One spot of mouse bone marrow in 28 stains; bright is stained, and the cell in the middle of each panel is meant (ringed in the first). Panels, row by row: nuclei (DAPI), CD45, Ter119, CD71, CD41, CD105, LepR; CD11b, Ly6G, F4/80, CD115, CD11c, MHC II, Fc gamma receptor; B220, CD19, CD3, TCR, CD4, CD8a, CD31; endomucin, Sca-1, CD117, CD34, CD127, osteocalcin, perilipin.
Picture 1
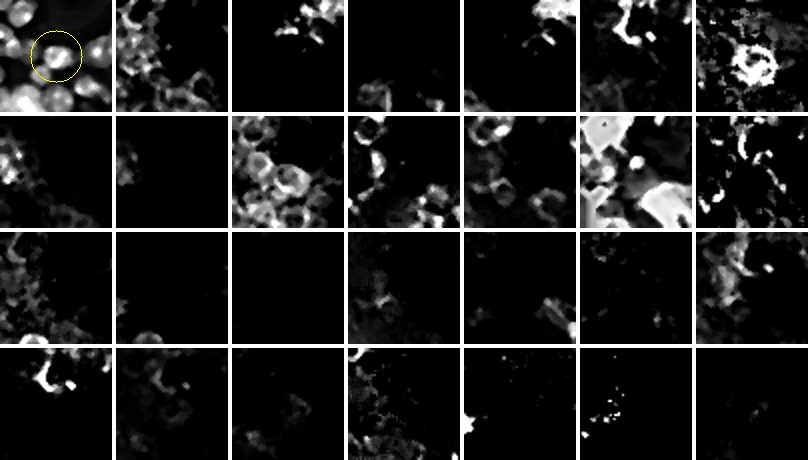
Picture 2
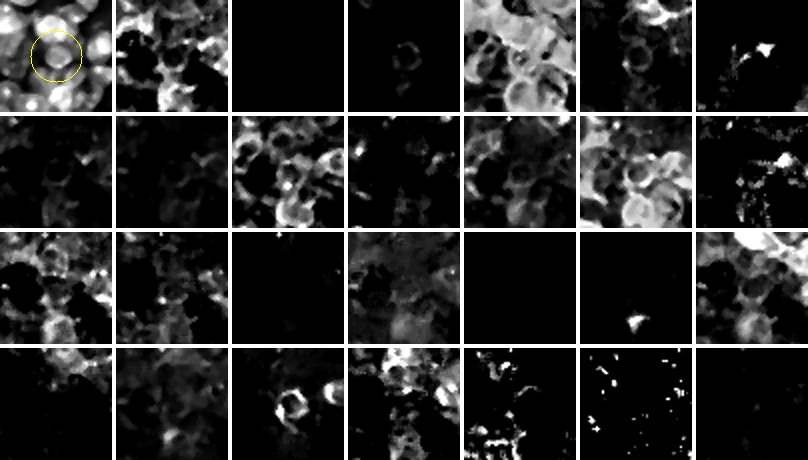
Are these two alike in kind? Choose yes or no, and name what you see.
No. First a LepR-positive perivascular cell, second a megakaryocyte progenitor.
